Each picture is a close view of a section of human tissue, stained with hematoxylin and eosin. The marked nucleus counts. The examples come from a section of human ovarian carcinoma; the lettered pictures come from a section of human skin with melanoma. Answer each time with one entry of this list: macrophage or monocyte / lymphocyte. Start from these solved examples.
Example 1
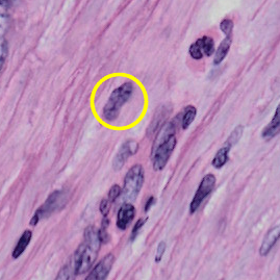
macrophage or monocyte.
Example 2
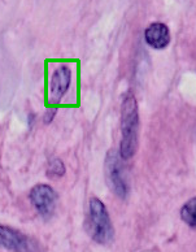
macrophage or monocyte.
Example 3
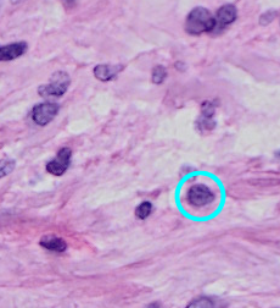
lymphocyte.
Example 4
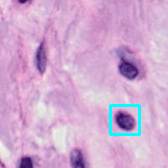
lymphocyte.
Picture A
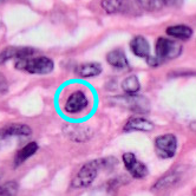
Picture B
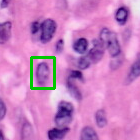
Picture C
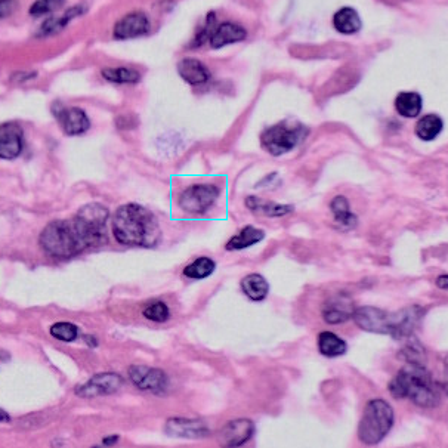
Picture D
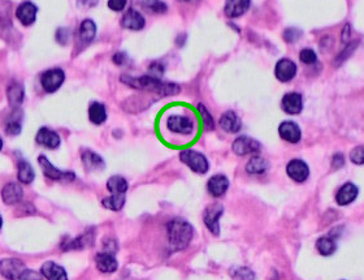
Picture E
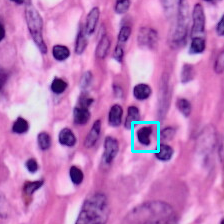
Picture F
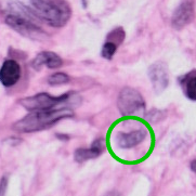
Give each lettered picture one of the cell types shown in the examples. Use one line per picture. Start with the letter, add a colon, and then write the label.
A: lymphocyte.
B: macrophage or monocyte.
C: macrophage or monocyte.
D: lymphocyte.
E: lymphocyte.
F: macrophage or monocyte.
